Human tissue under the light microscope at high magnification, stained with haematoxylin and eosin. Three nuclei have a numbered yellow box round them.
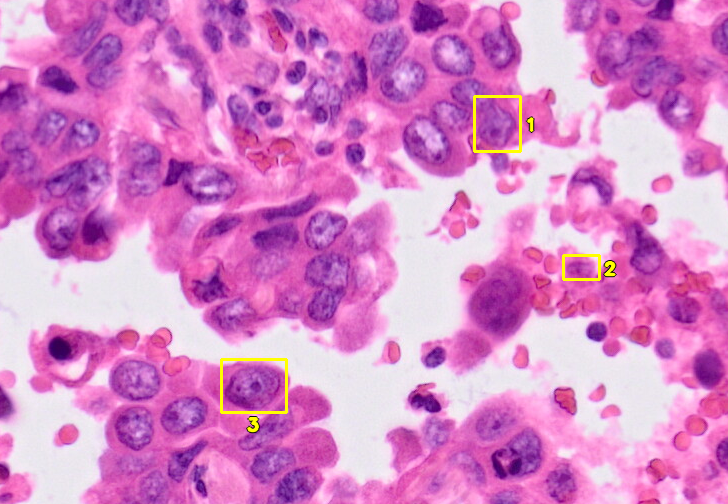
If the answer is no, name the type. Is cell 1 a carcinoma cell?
Yes.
